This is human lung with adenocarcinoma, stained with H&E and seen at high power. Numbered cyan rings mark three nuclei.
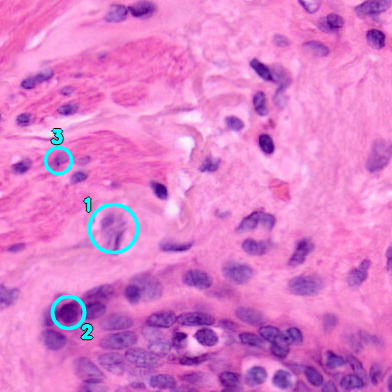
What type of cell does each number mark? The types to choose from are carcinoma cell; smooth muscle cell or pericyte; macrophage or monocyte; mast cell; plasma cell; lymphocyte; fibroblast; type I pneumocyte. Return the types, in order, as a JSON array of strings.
["fibroblast", "plasma cell", "smooth muscle cell or pericyte"]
